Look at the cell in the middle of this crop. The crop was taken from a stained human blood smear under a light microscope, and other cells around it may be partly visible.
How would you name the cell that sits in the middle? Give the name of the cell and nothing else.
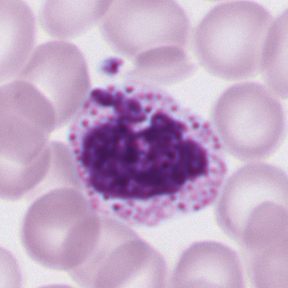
basophil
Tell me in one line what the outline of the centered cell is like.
Seen at its edge, the cell is not smooth but ragged or projecting.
